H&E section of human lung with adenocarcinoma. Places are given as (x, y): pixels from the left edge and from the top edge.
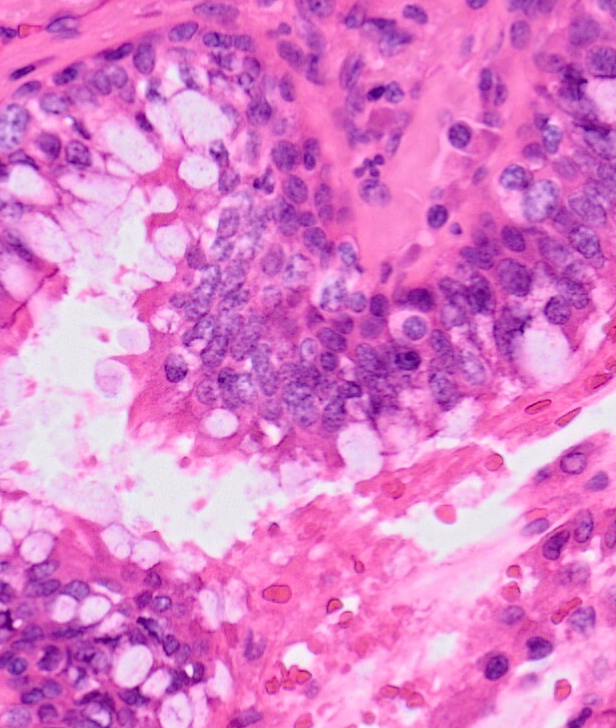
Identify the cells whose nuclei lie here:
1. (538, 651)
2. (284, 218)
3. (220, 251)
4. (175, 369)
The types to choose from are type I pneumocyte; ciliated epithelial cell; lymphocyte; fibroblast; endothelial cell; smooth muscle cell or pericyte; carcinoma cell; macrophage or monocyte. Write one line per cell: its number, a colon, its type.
1: macrophage or monocyte
2: ciliated epithelial cell
3: ciliated epithelial cell
4: ciliated epithelial cell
